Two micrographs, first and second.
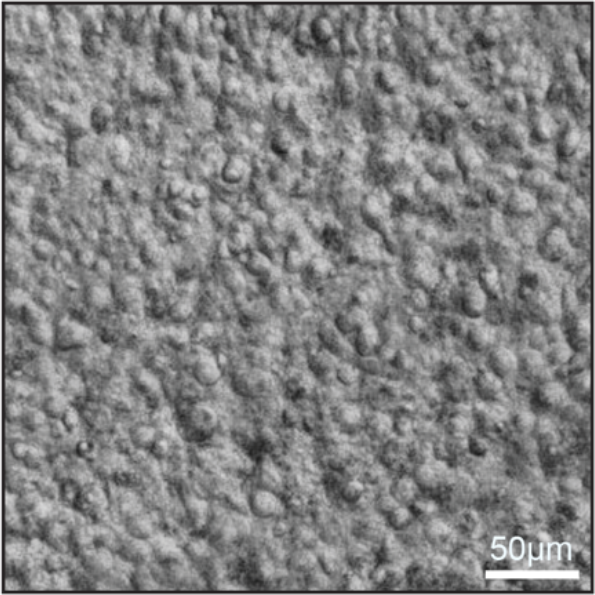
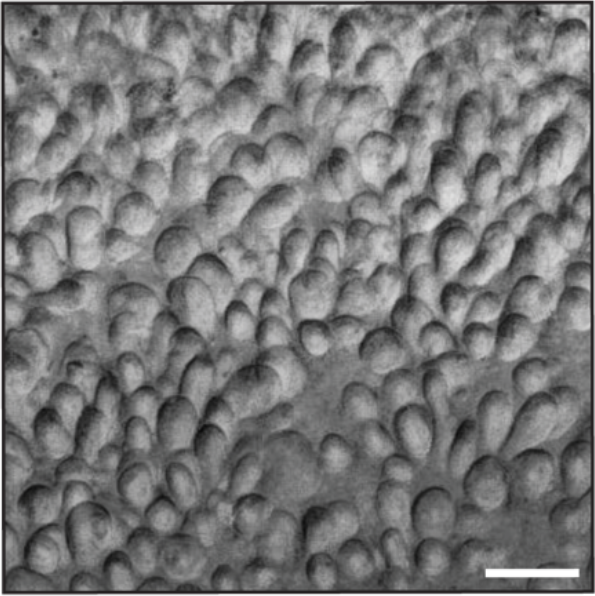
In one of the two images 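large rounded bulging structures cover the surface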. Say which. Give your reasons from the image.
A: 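First image: the surface is finely granular with small, crowded profiles and no large bulges. Second image: large rounded, bulging profiles densely cover the surface. So: the second image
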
